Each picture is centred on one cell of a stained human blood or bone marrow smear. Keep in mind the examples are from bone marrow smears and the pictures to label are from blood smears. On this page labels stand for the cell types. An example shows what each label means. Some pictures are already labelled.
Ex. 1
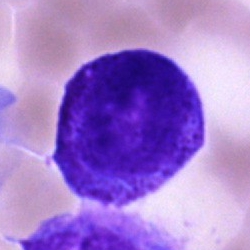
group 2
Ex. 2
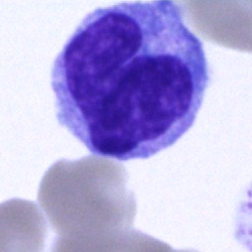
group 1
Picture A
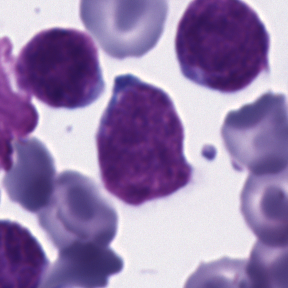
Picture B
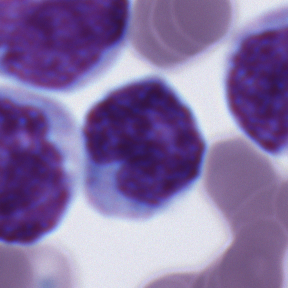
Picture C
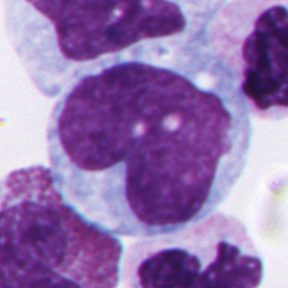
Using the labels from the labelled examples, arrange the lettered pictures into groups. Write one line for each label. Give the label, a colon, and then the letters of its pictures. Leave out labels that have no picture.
group 2: A
group 1: B, C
